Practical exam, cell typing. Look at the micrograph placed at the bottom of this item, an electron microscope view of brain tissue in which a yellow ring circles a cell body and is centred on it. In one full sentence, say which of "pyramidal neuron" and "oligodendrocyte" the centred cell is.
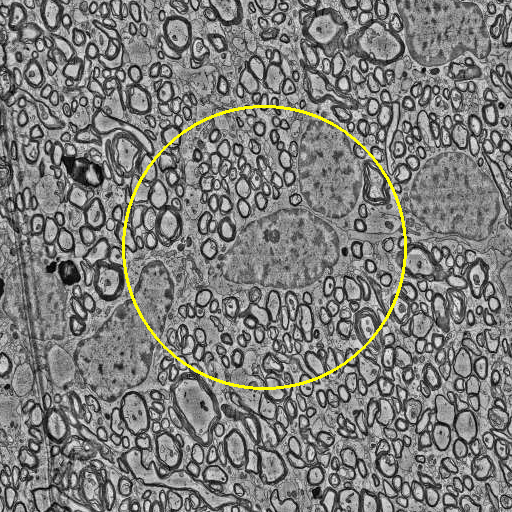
Given the options, an oligodendrocyte fits the cell whose body the yellow ring is centred on.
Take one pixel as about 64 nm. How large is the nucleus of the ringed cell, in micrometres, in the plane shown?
Approximately 8 by 5 micrometers, which makes the nucleus clearly longer than it is wide in this plane.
